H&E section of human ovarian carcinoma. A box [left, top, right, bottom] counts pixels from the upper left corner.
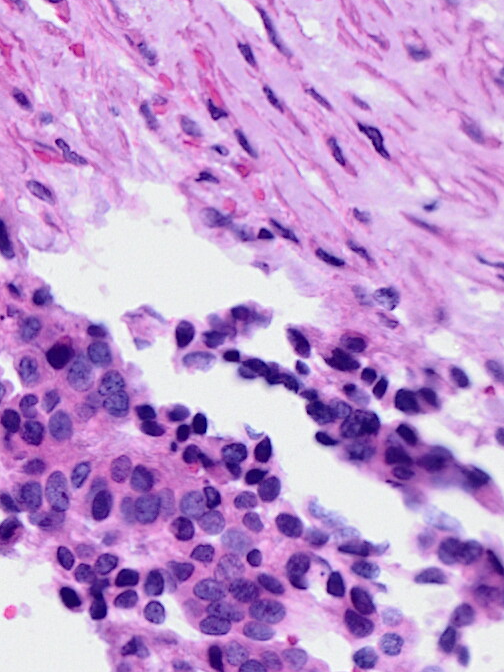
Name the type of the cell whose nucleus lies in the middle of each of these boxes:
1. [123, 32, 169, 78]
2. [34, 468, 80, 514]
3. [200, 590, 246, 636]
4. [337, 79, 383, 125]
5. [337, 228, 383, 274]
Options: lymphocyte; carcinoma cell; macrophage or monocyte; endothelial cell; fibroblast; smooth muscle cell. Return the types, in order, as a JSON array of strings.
["fibroblast", "carcinoma cell", "carcinoma cell", "fibroblast", "fibroblast"]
